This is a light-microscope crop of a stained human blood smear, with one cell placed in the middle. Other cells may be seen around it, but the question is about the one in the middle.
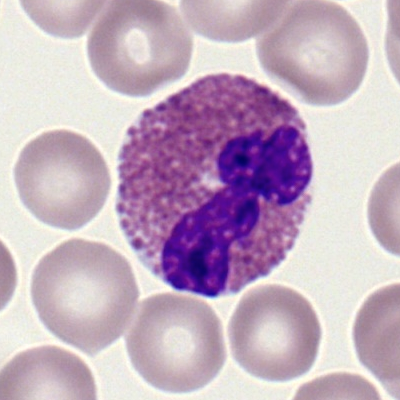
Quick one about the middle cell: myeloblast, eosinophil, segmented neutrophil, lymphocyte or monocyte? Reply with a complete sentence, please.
The cell marked by its central position in the crop is an eosinophil.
